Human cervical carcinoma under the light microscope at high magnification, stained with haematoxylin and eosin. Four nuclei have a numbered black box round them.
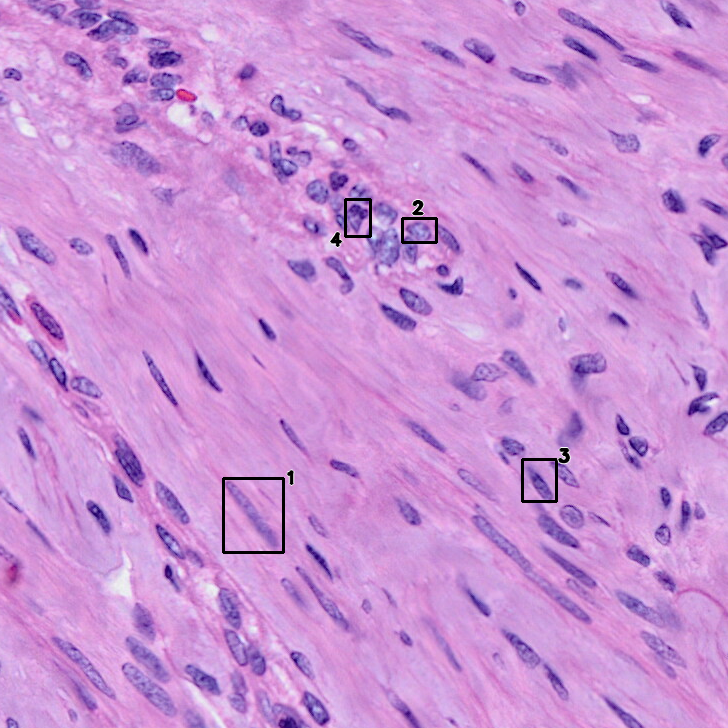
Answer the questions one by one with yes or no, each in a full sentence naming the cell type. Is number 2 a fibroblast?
No, cell 2 is correctly identified as an endothelial cell and not as a fibroblast.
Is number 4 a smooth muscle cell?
No, the marked cell 4 is not a smooth muscle cell, being instead an endothelial cell.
